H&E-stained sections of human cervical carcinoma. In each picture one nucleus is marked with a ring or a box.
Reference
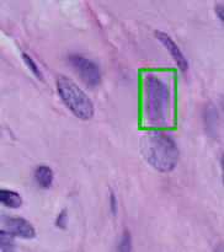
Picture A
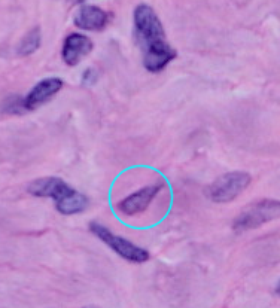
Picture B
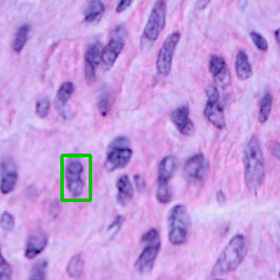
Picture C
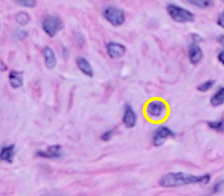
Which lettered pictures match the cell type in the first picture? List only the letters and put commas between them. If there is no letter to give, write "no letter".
A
